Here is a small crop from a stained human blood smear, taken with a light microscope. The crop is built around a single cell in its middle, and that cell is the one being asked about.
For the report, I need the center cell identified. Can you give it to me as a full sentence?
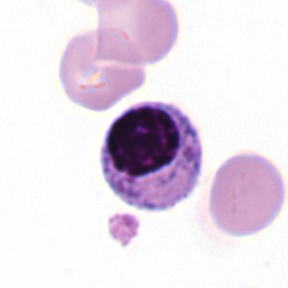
The center cell of this crop is an erythroblast.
